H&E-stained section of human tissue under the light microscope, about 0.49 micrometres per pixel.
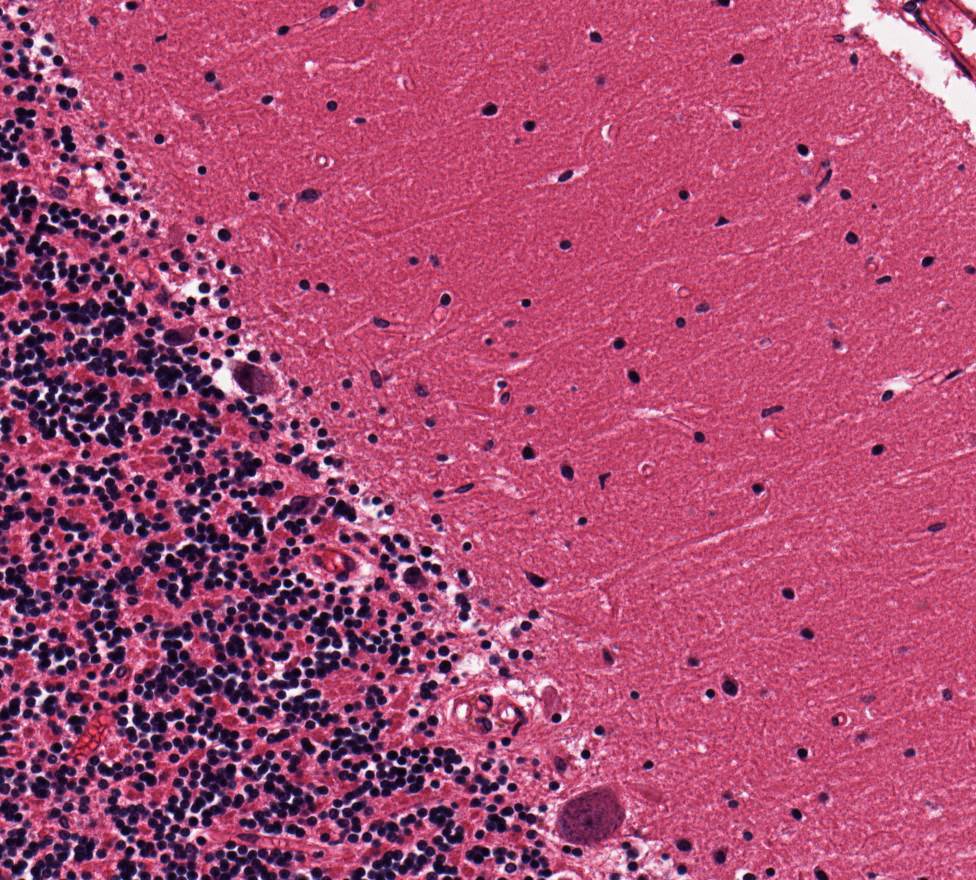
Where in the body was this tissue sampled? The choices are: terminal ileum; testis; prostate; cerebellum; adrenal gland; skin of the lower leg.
cerebellum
